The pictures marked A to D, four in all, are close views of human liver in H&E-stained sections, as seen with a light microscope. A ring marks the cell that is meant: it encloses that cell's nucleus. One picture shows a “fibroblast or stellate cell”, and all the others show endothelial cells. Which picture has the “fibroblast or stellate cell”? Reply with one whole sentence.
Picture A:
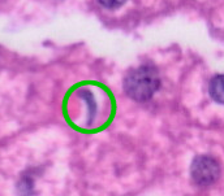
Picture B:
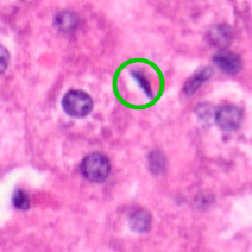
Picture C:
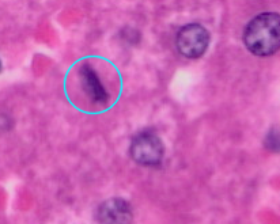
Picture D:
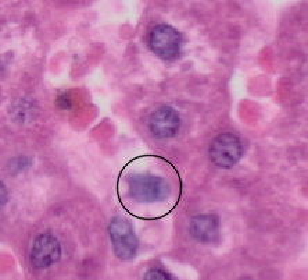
Picture C is the one that shows the “fibroblast or stellate cell”.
